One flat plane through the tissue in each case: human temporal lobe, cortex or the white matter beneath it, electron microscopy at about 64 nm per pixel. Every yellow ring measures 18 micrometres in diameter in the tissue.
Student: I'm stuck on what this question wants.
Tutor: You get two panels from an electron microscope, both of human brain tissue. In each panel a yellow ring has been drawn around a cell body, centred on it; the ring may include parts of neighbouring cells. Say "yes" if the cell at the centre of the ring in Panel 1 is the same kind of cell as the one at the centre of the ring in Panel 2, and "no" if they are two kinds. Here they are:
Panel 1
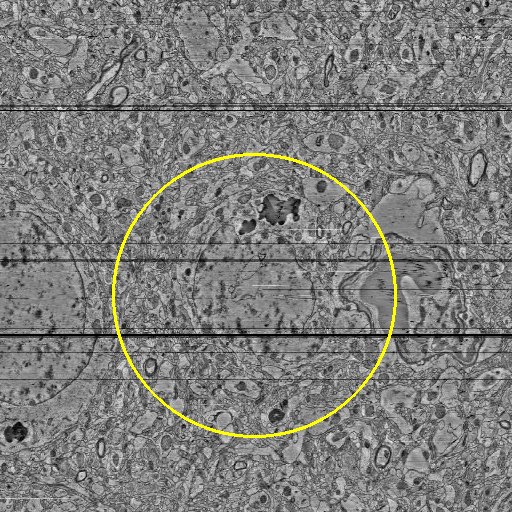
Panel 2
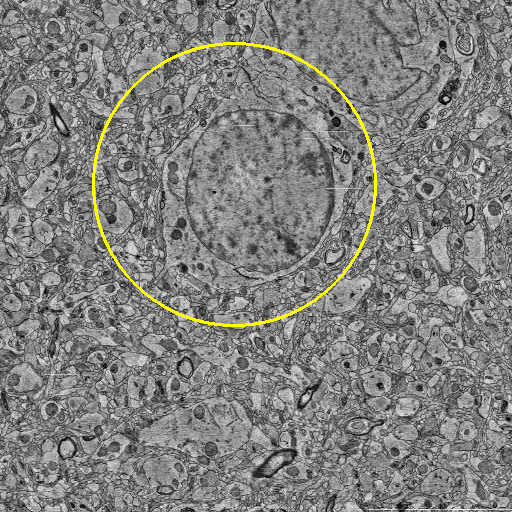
yes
